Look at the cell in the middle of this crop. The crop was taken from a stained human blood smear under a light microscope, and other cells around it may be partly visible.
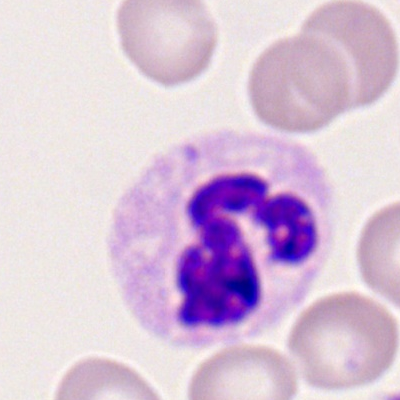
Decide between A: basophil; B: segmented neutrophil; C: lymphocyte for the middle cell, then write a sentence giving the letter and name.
What option B states is correct, the central cell being a segmented neutrophil.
